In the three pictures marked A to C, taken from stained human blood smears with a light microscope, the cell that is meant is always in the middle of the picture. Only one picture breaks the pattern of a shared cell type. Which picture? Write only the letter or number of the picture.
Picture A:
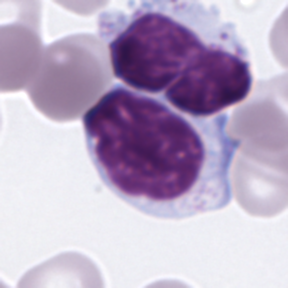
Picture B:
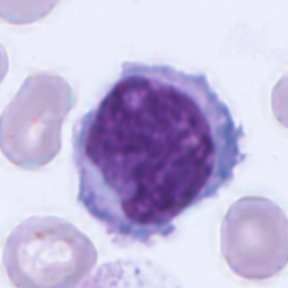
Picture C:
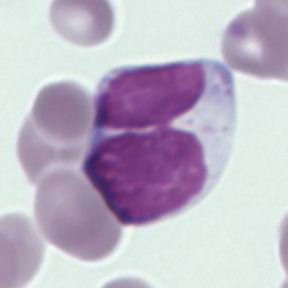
B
